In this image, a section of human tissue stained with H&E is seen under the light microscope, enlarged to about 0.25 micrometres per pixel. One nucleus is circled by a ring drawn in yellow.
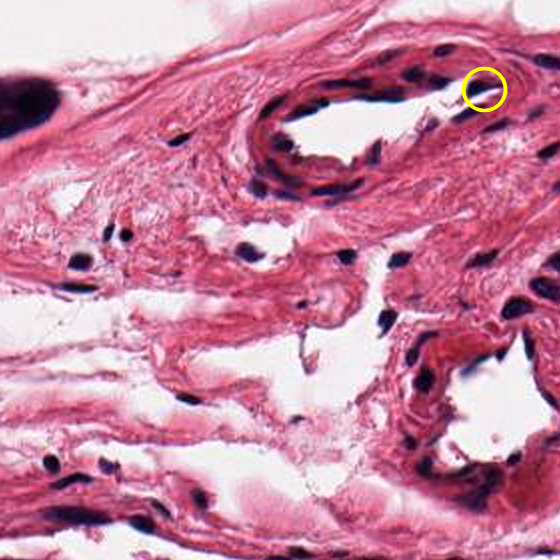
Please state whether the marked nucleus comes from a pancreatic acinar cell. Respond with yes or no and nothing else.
no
